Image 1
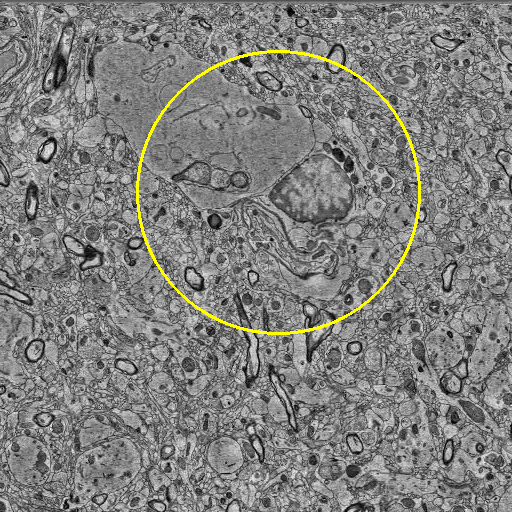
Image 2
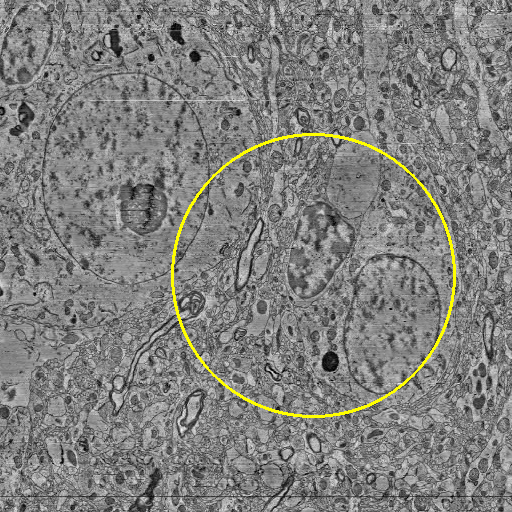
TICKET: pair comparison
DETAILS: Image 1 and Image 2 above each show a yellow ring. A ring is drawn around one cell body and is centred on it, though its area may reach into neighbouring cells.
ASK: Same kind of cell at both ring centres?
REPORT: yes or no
yes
